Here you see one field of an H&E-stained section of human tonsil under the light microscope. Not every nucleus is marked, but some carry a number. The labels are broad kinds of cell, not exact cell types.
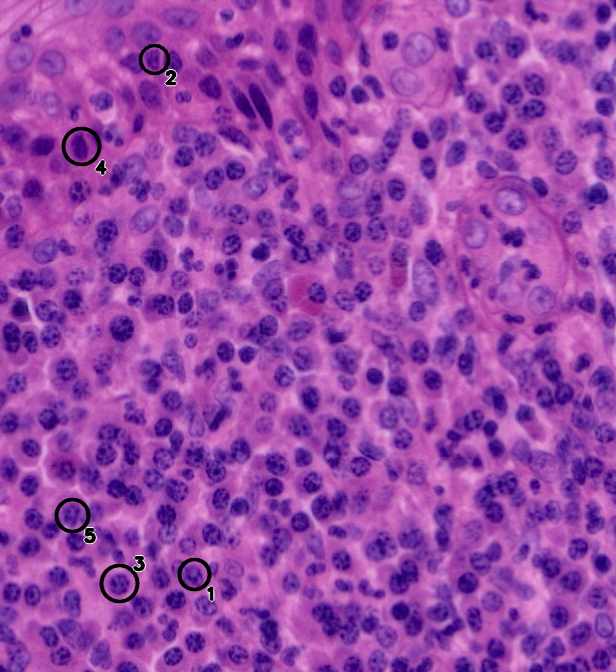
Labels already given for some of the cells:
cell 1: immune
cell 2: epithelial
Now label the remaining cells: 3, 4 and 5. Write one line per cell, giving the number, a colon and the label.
3: immune
4: epithelial
5: immune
